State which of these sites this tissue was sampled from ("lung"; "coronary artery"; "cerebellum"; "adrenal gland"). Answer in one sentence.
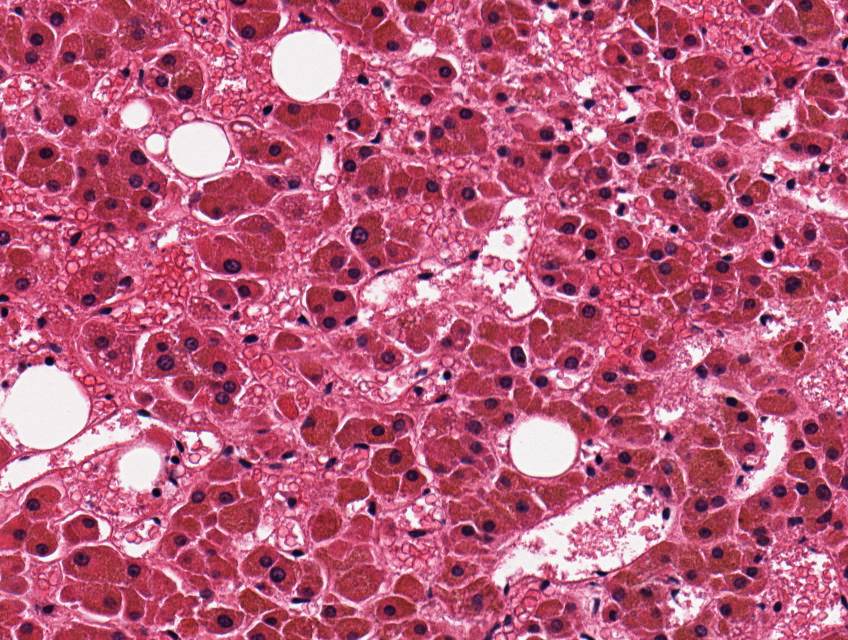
The site this tissue was sampled from is the adrenal gland.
